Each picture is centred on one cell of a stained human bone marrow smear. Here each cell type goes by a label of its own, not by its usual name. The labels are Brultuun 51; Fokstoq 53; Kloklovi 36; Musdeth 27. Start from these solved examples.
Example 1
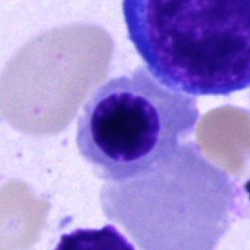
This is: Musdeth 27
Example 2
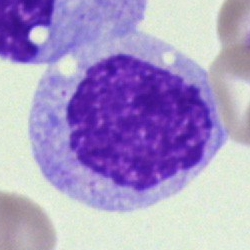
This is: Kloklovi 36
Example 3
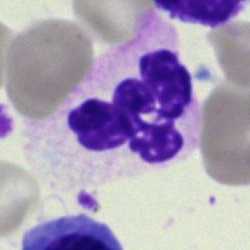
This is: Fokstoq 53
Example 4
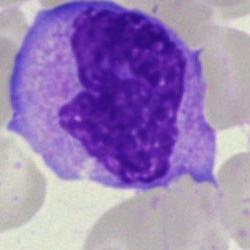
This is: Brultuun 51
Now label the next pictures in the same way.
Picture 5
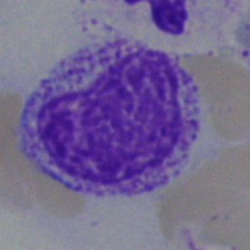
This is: Kloklovi 36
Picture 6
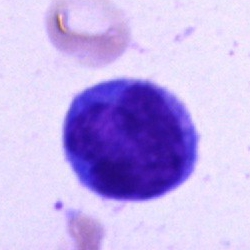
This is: Brultuun 51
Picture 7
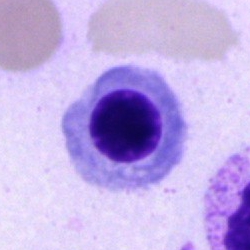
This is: Musdeth 27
